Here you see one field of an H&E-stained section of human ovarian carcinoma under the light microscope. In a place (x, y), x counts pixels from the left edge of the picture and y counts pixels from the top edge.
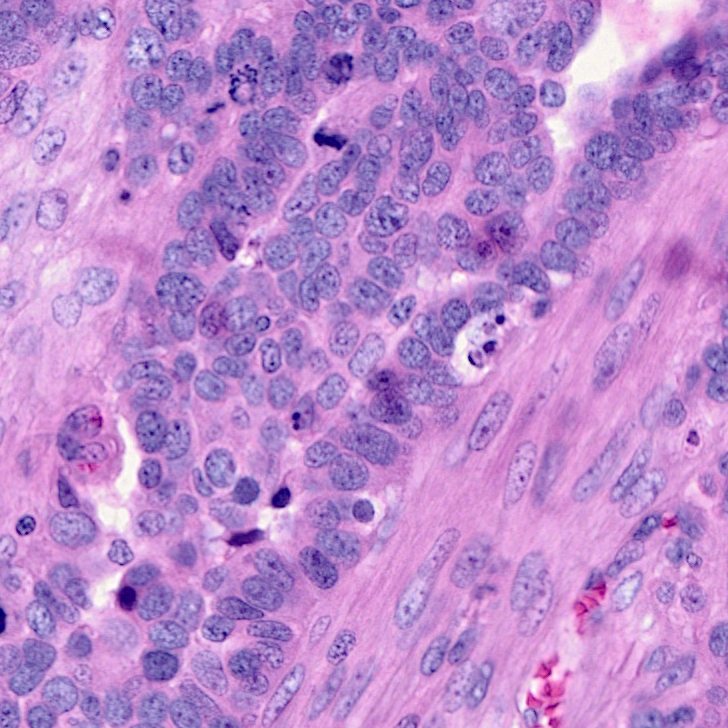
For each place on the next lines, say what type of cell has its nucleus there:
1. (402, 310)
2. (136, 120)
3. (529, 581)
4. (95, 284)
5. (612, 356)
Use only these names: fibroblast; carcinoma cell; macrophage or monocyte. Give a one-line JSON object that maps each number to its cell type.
{"1": "macrophage or monocyte", "2": "carcinoma cell", "3": "fibroblast", "4": "fibroblast", "5": "fibroblast"}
